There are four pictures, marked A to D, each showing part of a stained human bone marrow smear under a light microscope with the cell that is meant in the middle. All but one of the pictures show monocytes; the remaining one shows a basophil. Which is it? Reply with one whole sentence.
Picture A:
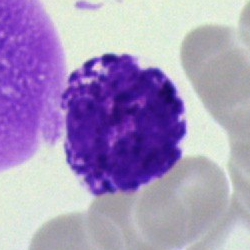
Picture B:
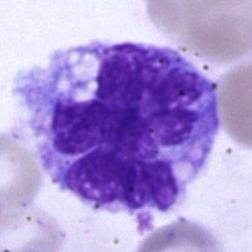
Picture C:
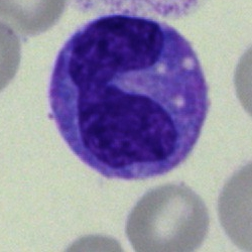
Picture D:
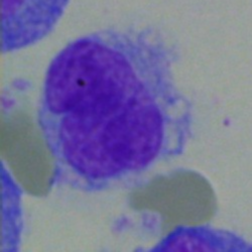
The picture with the basophil is A.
